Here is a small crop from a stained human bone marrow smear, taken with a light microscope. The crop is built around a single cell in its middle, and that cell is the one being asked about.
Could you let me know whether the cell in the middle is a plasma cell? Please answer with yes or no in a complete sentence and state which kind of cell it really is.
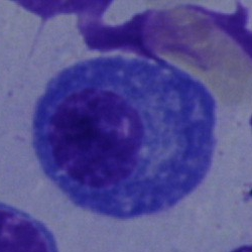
Yes, that is a plasma cell in the middle of the crop.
